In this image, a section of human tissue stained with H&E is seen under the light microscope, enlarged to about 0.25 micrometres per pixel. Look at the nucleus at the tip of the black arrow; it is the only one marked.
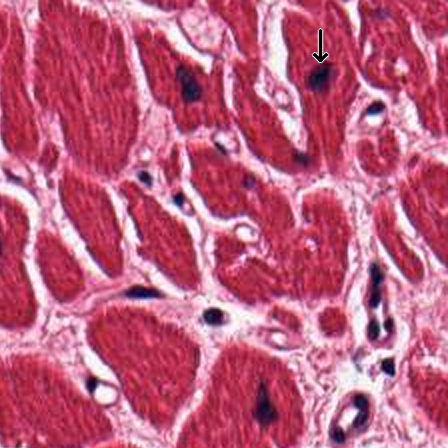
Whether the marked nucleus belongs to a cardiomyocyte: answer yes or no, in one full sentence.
Yes, the marked nucleus is to be assigned to a cardiomyocyte.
